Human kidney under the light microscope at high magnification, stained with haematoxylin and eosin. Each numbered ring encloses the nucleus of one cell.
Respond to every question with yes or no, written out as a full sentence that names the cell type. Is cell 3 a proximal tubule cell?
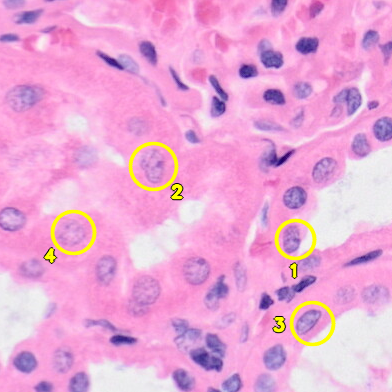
No, the nucleus numbered 3 belongs to a loop of Henle or distal tubule cell, not a proximal tubule cell.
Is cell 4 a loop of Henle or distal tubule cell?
No, the cell bearing the number 4 is a proximal tubule cell, not a loop of Henle or distal tubule cell.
